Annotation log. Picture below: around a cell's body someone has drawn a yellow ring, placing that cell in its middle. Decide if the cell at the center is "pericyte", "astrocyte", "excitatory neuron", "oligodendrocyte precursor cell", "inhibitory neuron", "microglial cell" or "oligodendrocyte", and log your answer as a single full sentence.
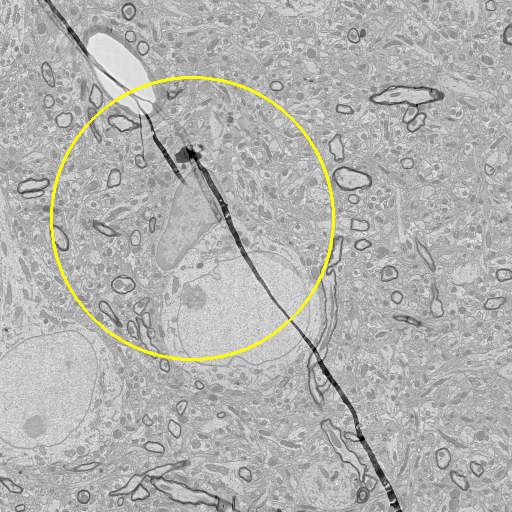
My entry records a microglial cell as the cell sitting at the center of the yellow ring.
